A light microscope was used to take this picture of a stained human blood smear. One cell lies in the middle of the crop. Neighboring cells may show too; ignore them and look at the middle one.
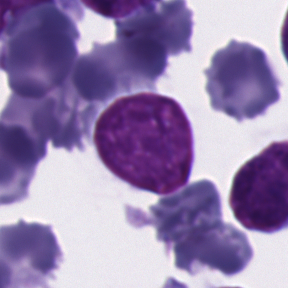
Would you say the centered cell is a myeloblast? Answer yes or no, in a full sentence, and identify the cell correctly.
No, the centred cell is a smudge cell, and it is not a myeloblast.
